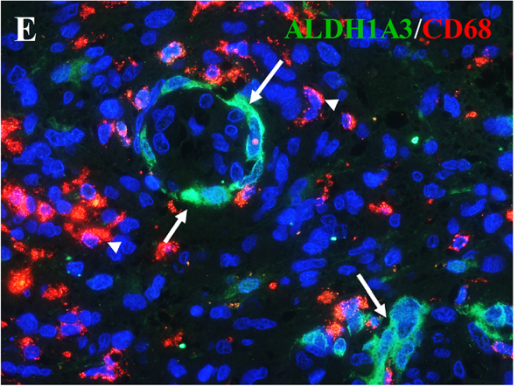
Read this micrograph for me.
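This tumor tissue holds a glomeruloid vascular tuft: near the middle a round lumen is encircled by a ring of flattened, elongated cells whose outlines are green, marking the outer layer of the tuft. A second, smaller green-lined cluster sits lower right.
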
